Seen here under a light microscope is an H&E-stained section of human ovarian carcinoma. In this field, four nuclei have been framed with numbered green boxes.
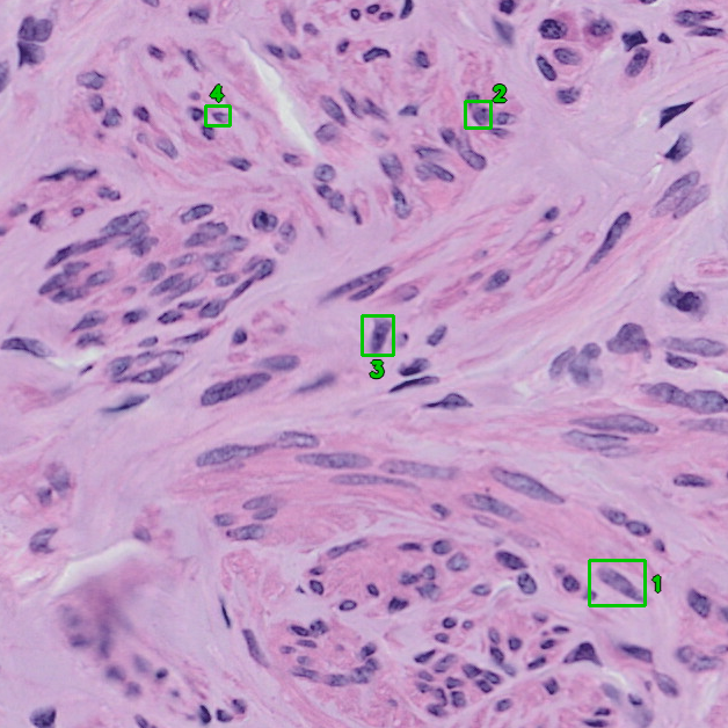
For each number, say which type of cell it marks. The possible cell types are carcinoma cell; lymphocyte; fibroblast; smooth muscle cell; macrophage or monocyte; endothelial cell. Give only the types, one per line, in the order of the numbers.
smooth muscle cell
smooth muscle cell
fibroblast
smooth muscle cell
